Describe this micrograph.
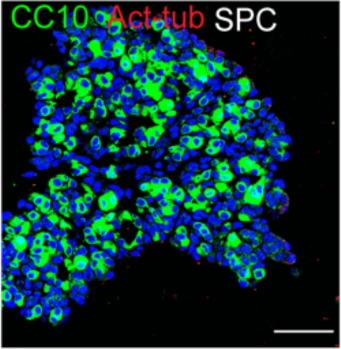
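This is a compact cluster of epithelial cells forming an organoid, with round blue nuclei packed closely across the whole mass. Many of the cells carry bright green cytoplasm that rings or caps their nuclei, so the green-filled cells make up a large share of the cluster. Little or no white or red signal is seen among the cells. The cluster has an irregular, lobed outline rather than a smooth sphere.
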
